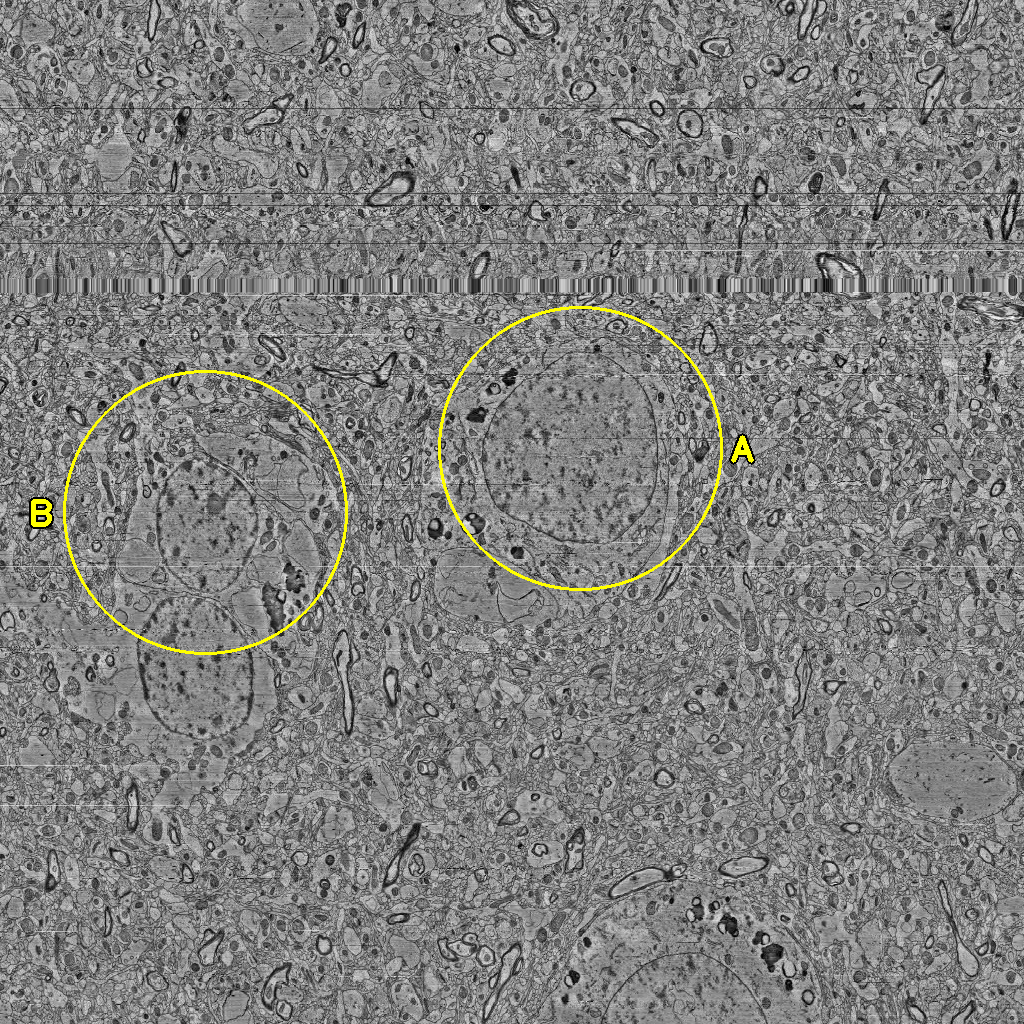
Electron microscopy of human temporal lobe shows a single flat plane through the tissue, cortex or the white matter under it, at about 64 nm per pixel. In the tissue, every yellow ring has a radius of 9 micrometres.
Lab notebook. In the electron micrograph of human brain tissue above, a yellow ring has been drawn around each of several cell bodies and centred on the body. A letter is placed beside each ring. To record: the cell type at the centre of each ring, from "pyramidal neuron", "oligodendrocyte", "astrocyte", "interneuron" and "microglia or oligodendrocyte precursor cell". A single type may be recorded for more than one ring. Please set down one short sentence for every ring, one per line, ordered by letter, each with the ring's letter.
The centre of ring A is occupied by a pyramidal neuron.
The centre of ring B is occupied by an astrocyte.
